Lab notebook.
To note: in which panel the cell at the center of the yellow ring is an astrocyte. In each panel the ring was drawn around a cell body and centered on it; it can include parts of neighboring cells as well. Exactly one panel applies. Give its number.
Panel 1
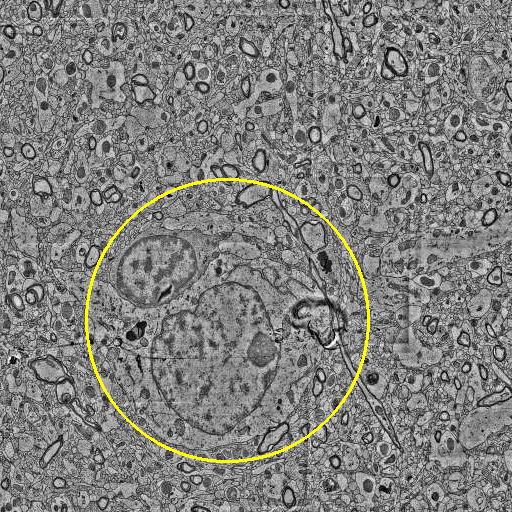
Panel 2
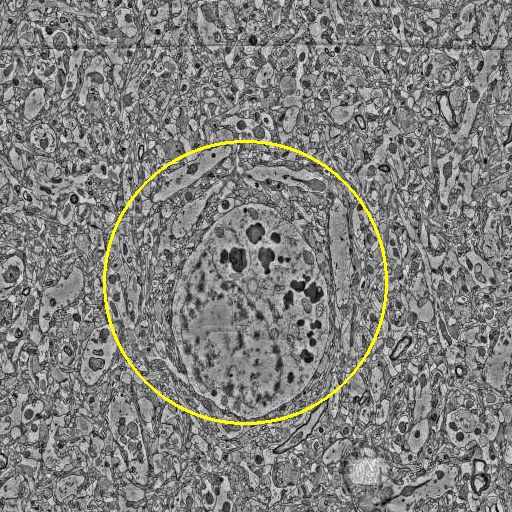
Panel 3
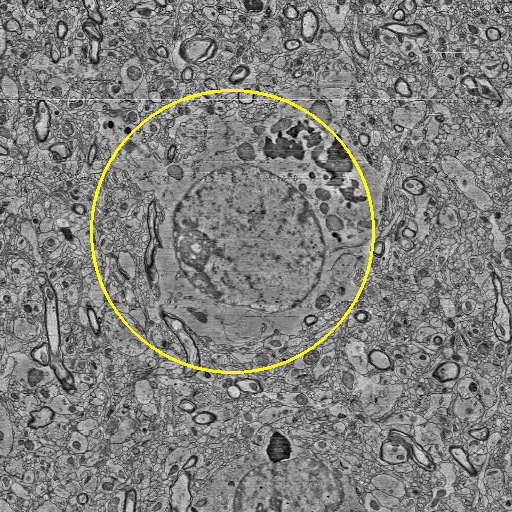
3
